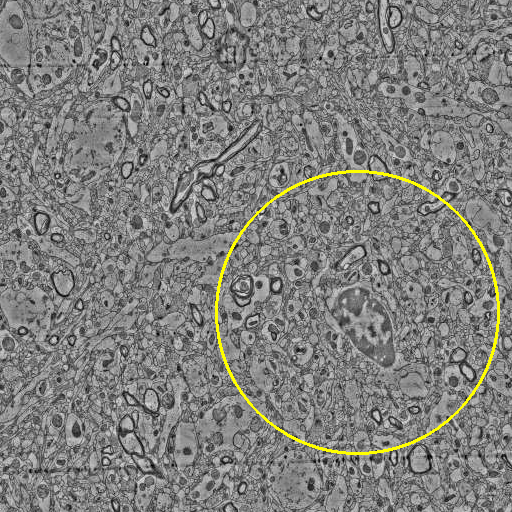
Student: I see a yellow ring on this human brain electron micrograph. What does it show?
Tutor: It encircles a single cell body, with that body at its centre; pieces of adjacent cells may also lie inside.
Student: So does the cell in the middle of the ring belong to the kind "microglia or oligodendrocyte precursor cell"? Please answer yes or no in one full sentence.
Yes, the cell in the middle of that yellow ring belongs to this kind.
